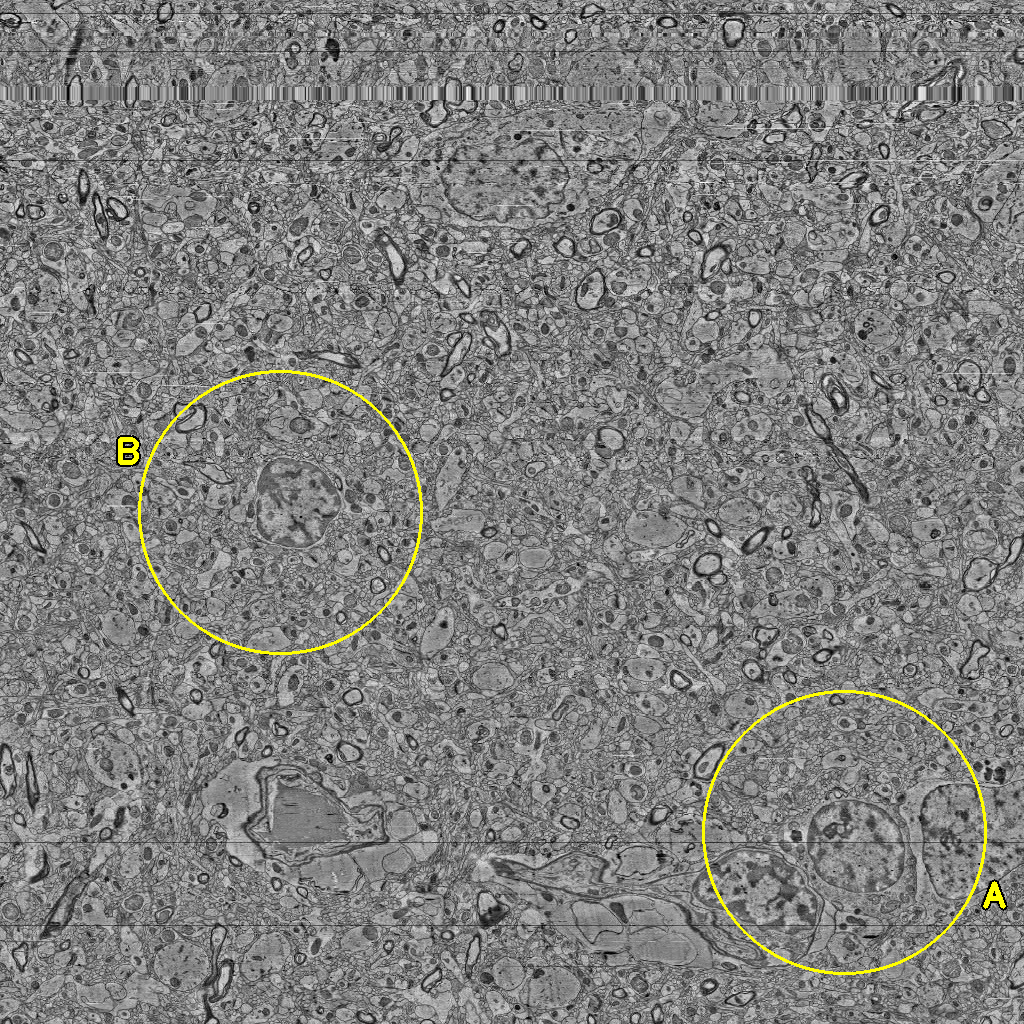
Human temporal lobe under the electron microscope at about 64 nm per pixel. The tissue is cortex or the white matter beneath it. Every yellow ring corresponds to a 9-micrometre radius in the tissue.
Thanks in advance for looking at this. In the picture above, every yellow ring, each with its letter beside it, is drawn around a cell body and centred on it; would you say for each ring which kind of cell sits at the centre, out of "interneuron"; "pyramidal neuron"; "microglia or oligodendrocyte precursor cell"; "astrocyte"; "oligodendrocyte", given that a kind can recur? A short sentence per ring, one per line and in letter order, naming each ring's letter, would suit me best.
The cell body in ring A belongs to an oligodendrocyte.
The cell body in ring B belongs to a microglial cell or oligodendrocyte precursor cell.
